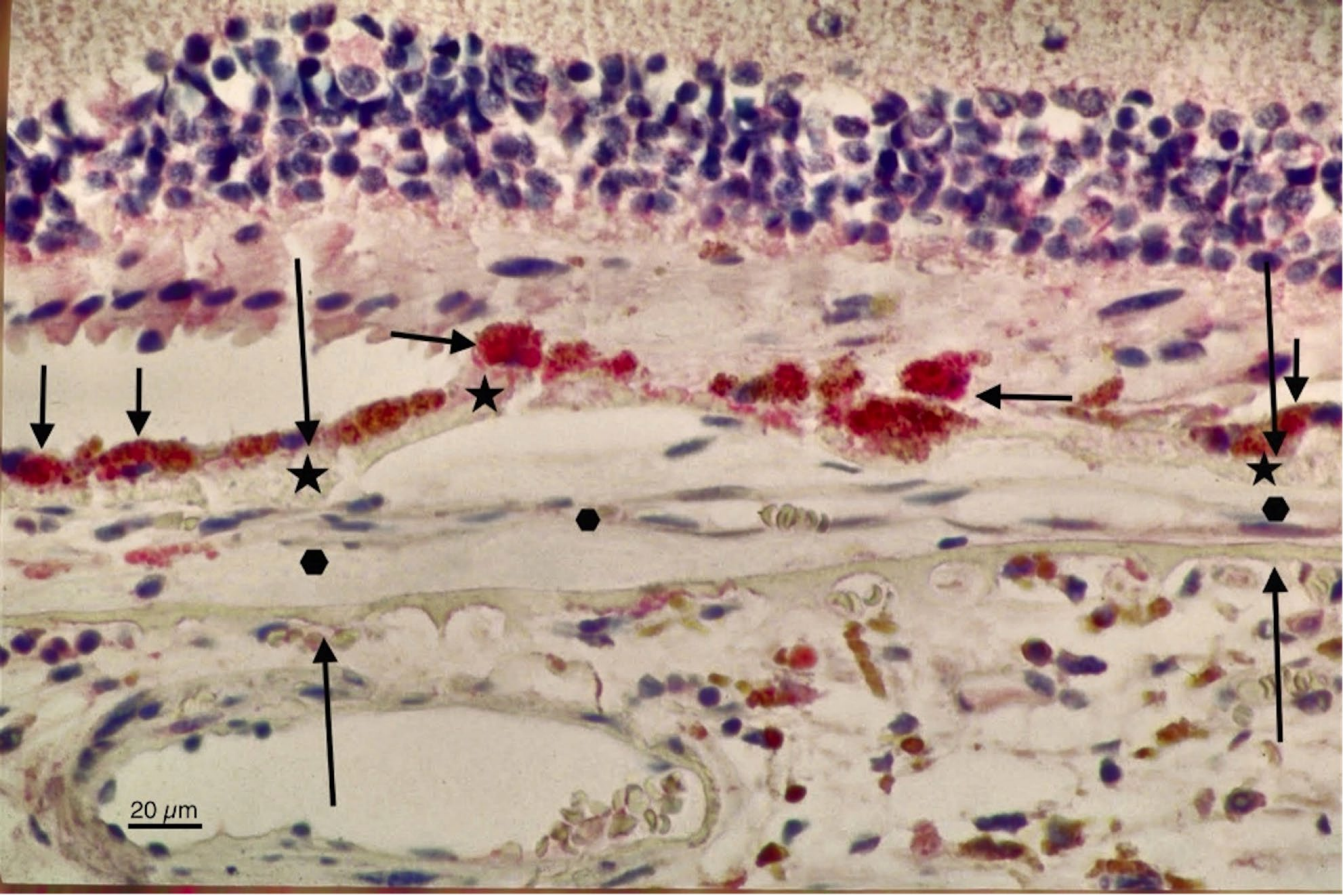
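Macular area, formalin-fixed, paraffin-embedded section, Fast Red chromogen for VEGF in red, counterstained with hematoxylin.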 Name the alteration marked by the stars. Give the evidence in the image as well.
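The inner aspect of Bruch’s membrane is thickened. The stars sit in a broad, pale, nearly acellular band directly beneath the red-stained cell row. This pale band is much thicker than a thin basement membrane line.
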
